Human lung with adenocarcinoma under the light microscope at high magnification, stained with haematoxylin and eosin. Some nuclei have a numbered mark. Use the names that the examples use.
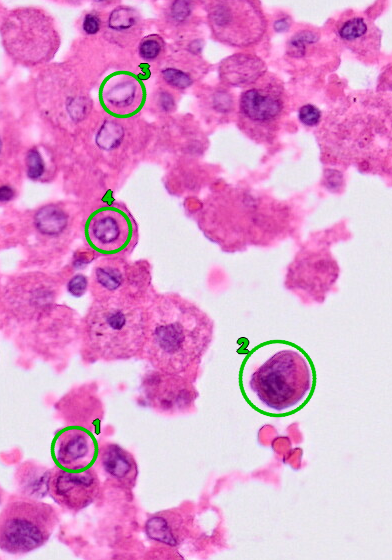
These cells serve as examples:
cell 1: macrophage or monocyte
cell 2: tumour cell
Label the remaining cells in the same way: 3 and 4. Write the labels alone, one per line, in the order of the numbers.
macrophage or monocyte
macrophage or monocyte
